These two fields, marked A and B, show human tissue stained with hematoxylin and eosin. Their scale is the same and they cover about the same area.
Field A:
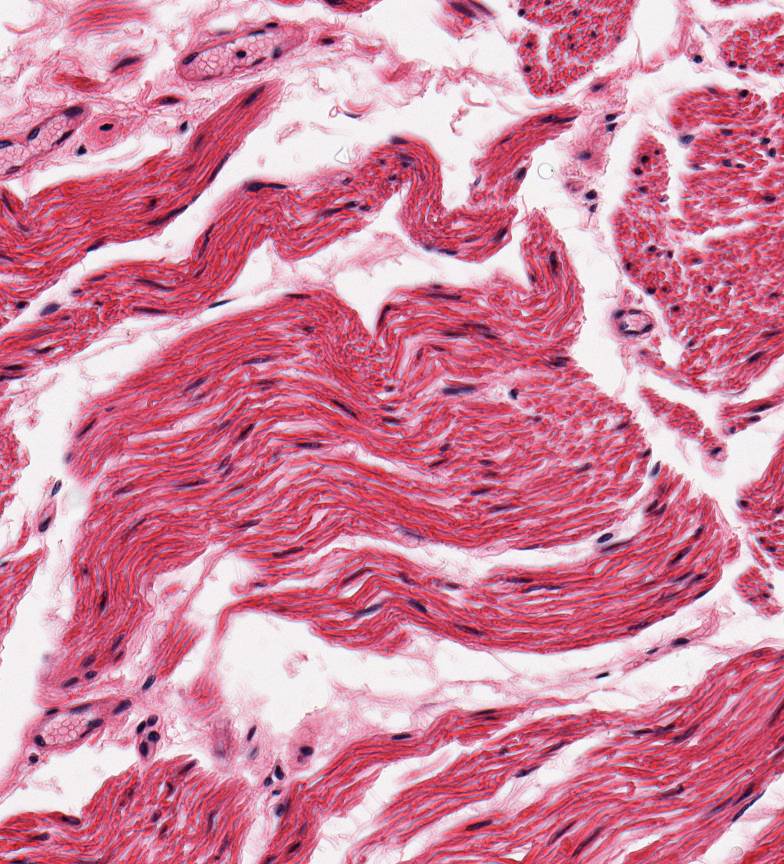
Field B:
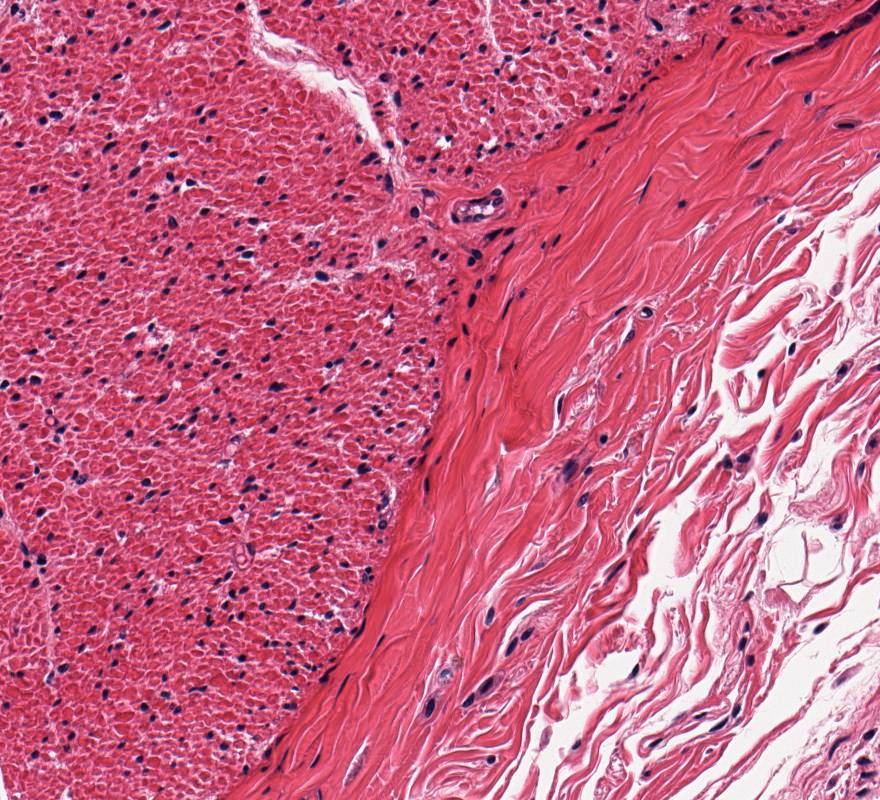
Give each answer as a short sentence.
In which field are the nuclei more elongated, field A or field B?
On the whole the nuclei of field A are more drawn out than those of field B.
